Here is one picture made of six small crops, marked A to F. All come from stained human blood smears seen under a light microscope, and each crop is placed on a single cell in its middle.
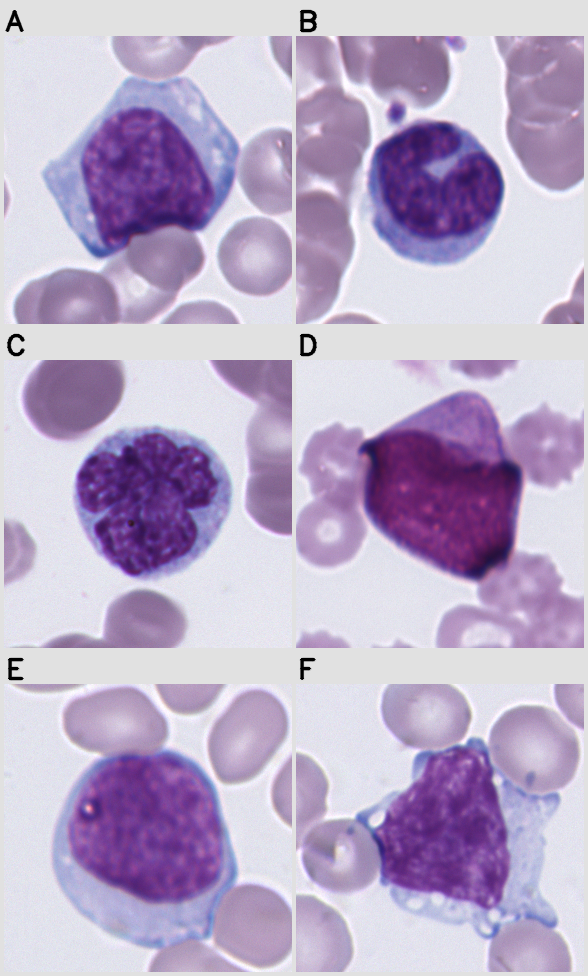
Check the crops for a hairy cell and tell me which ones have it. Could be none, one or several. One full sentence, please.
Nowhere among the crops is a hairy cell shown.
